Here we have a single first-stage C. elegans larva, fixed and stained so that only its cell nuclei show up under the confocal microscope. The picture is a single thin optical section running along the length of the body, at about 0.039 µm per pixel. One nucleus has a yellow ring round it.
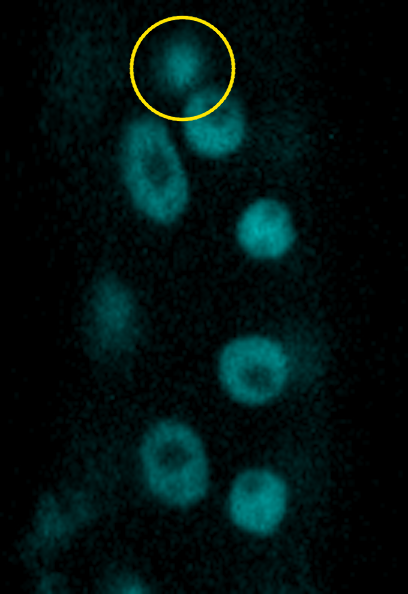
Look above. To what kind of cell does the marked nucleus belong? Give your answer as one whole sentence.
What is marked is the nucleus of a neuron.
